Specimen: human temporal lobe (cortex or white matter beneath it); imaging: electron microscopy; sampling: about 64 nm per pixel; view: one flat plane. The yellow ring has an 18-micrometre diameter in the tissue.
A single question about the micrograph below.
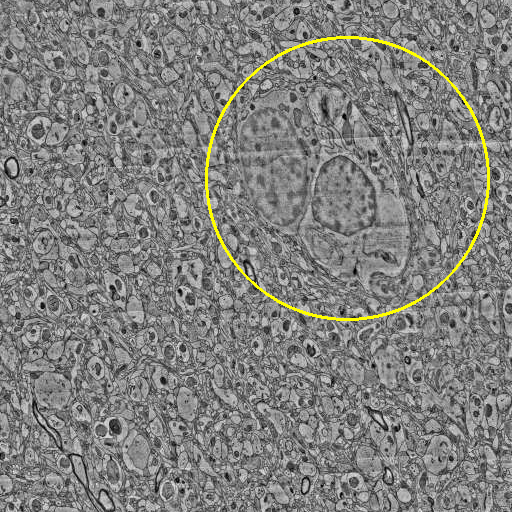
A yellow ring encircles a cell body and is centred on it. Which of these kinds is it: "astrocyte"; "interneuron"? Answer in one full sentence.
The cell body at the centre of the yellow ring belongs to an astrocyte.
